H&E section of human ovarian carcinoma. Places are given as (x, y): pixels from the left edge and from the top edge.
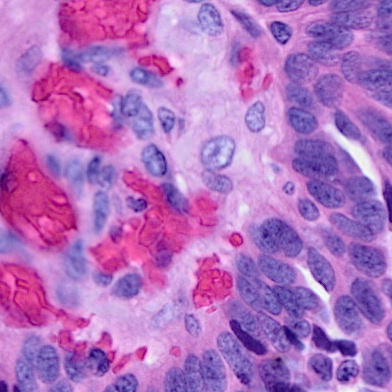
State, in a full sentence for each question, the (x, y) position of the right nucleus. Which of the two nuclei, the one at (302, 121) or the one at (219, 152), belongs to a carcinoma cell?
It is at (302, 121) that the nucleus of a carcinoma cell is found.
